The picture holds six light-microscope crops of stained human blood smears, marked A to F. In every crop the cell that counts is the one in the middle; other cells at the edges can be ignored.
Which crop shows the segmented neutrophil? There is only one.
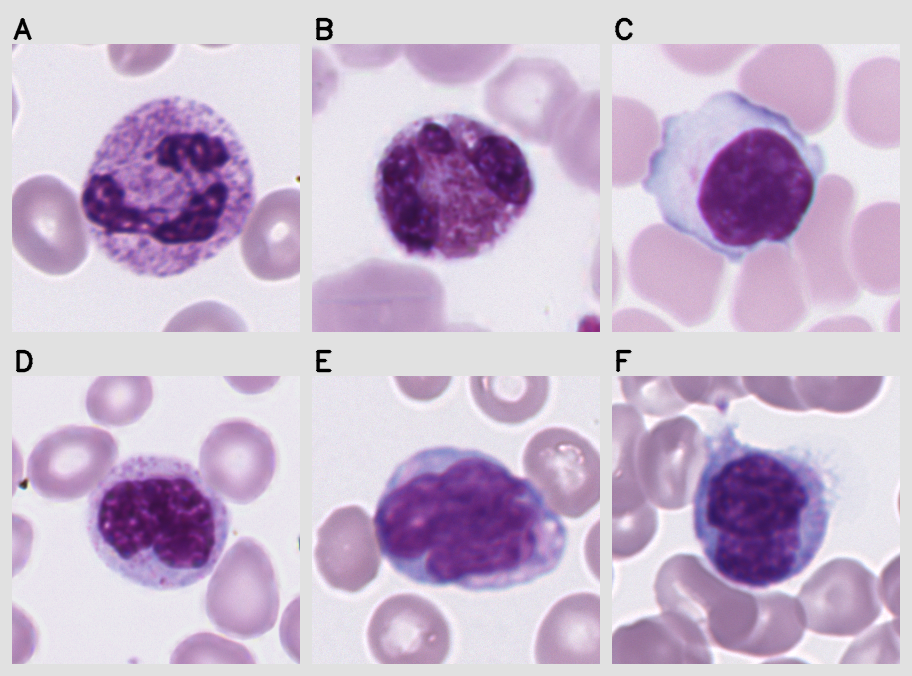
A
